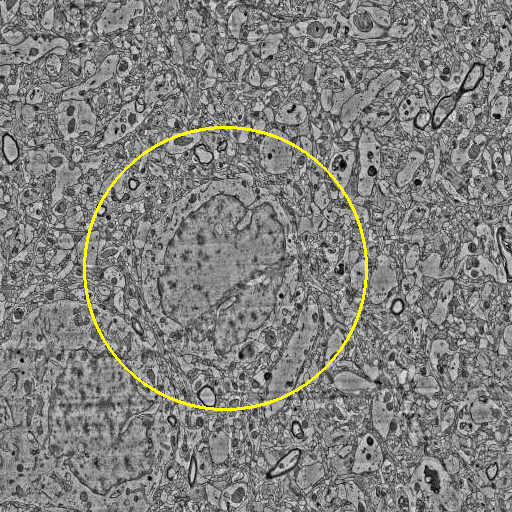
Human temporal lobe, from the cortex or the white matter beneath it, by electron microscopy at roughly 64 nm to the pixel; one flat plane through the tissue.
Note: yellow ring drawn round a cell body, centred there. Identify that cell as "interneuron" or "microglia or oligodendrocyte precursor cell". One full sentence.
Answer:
The cell in the middle of the ring is an interneuron.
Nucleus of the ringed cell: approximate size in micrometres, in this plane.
Approximately 10 x 8 micrometres in this plane.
